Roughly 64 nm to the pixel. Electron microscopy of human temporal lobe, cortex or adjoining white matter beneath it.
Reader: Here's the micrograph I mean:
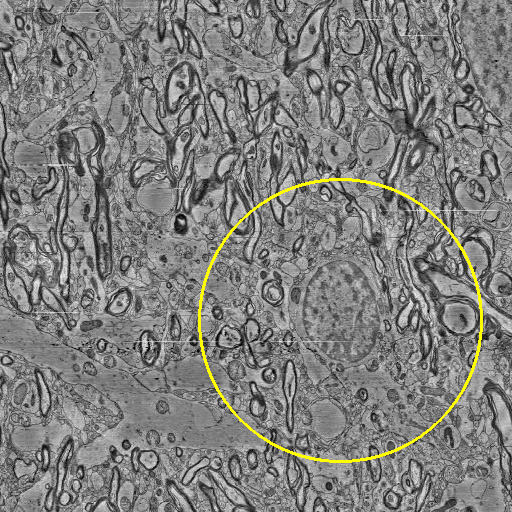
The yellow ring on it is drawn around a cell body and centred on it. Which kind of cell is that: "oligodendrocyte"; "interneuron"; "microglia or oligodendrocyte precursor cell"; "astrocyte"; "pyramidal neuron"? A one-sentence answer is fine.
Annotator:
The ring is centred on an oligodendrocyte.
